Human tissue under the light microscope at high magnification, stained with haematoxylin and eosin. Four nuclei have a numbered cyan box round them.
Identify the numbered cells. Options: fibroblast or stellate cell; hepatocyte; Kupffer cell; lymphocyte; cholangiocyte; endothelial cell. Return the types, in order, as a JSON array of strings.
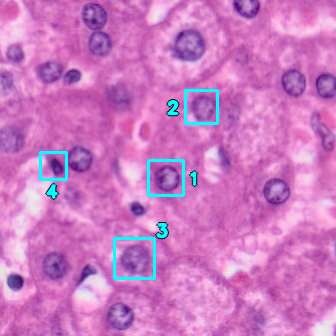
["hepatocyte", "hepatocyte", "hepatocyte", "fibroblast or stellate cell"]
